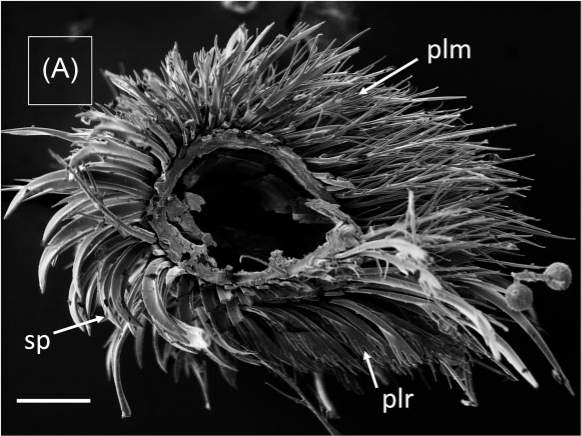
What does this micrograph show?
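Along the upper side the bristles are long, slender and finely branched, giving a feathery look. On the lower left, many bristles are broader, flattened and curved, lying in overlapping rows. The cut surface of the wall looks ragged where the section was made.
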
